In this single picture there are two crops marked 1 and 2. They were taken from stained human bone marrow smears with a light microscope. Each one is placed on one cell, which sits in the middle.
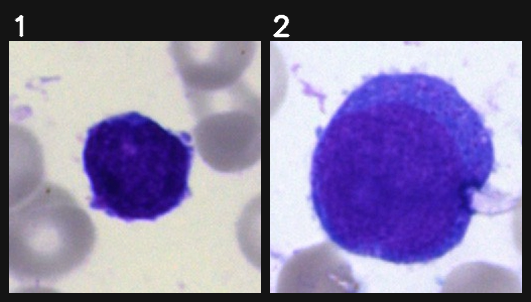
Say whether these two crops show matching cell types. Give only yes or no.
yes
